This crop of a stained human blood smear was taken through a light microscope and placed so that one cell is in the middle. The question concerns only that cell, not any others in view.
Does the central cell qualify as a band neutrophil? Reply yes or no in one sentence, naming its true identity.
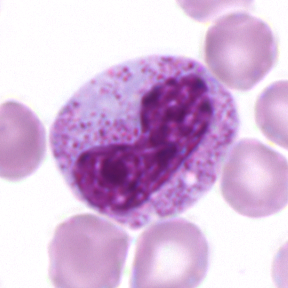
Yes, the cell shown centrally is a band neutrophil.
